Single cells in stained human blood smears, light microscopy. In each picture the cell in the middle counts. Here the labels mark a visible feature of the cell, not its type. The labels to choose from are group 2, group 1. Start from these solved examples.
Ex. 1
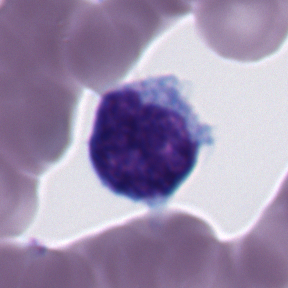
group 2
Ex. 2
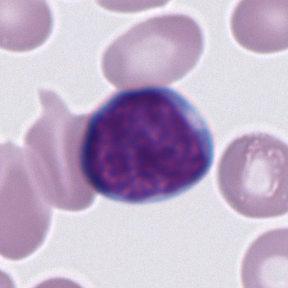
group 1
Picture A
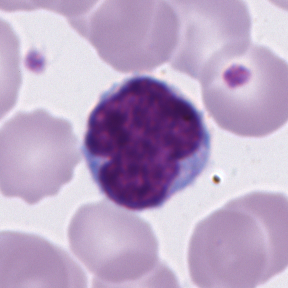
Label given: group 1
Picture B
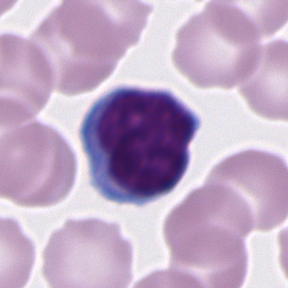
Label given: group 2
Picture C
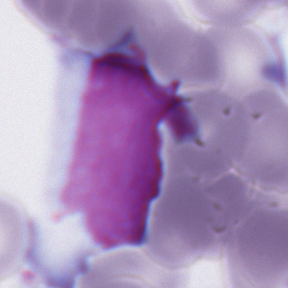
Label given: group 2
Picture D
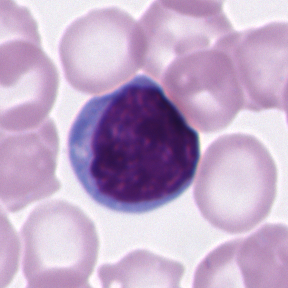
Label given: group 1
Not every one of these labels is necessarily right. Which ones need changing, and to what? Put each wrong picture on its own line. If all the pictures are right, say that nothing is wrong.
B: not group 2 but group 1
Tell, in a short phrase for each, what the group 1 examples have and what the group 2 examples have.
group 1, smooth outline; group 2, ragged outline or projections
